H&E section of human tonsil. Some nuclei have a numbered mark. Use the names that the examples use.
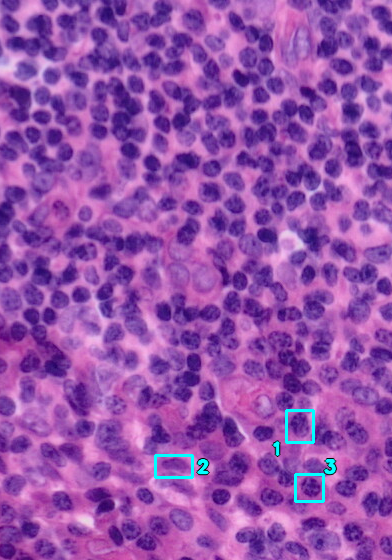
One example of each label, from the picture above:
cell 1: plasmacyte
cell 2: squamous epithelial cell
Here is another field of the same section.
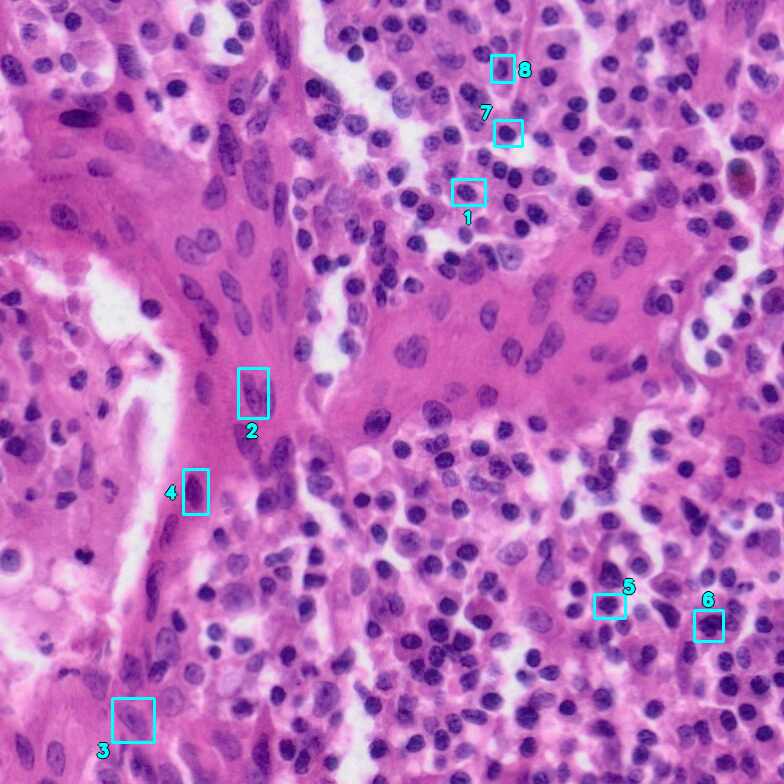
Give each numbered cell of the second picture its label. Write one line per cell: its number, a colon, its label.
1: plasmacyte
2: squamous epithelial cell
3: squamous epithelial cell
4: squamous epithelial cell
5: plasmacyte
6: plasmacyte
7: plasmacyte
8: plasmacyte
